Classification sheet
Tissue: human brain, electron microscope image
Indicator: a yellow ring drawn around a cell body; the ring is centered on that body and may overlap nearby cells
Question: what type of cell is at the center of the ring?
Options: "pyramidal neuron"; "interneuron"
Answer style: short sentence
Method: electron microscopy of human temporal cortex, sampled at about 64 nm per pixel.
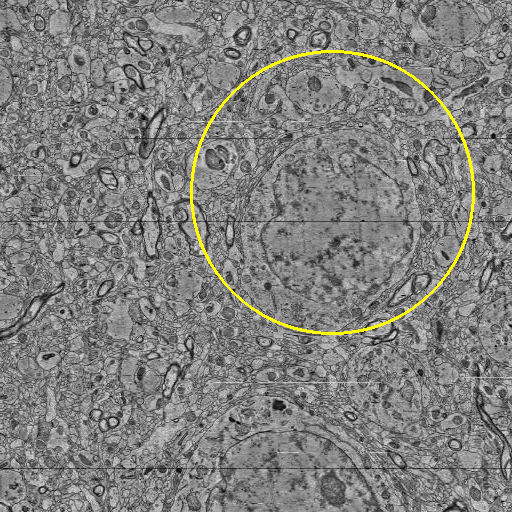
At the ring's center is an interneuron.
